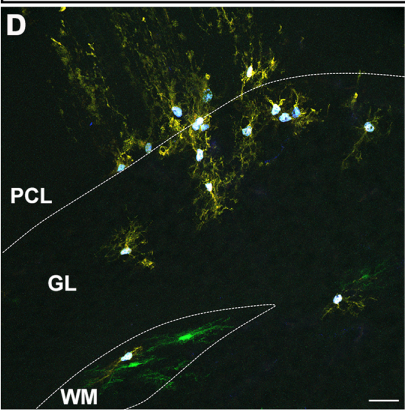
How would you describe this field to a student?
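Yellow, bushy cells with pale blue nuclei cluster near the upper dashed line, while scattered star-shaped yellow cells lie in the granular layer below. Within the outlined white matter at the bottom, labelled cells are more elongated and their processes run along the band.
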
